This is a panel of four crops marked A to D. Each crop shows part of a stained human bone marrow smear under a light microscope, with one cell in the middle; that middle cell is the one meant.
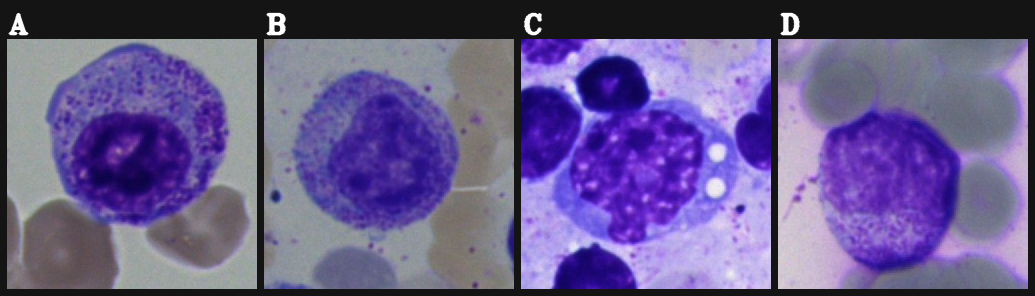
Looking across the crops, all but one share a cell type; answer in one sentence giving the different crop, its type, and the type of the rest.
Apart from crop C, which shows a monocyte, every crop shows myelocytes.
